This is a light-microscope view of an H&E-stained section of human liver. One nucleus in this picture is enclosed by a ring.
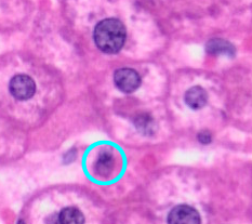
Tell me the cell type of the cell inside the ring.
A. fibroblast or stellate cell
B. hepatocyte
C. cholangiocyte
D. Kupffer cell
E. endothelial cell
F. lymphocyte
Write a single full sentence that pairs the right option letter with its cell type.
In this case the cell inside the ring is a Kupffer cell, so option D is correct.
